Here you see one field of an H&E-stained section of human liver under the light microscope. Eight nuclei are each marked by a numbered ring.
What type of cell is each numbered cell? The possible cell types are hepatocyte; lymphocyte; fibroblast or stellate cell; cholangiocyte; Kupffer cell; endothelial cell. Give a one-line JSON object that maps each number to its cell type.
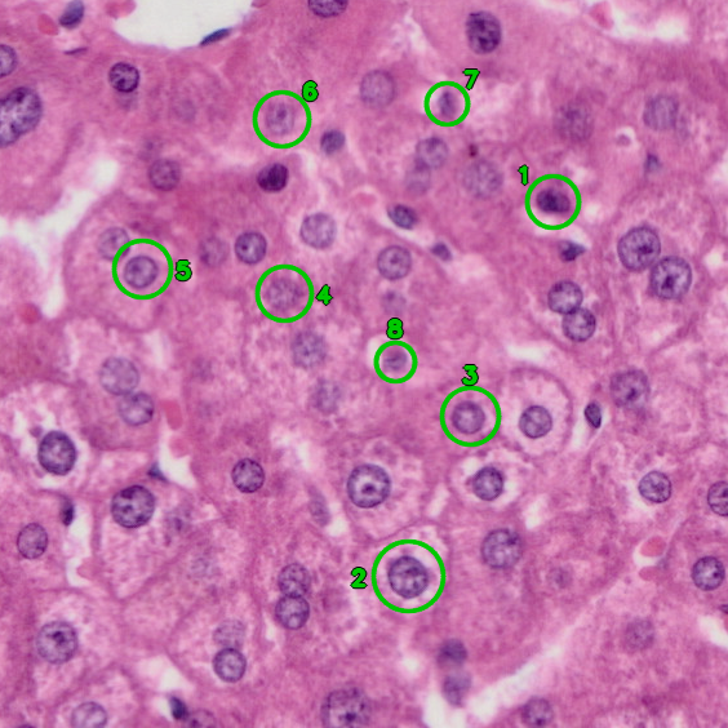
{"1": "Kupffer cell", "2": "hepatocyte", "3": "hepatocyte", "4": "hepatocyte", "5": "hepatocyte", "6": "hepatocyte", "7": "endothelial cell", "8": "Kupffer cell"}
